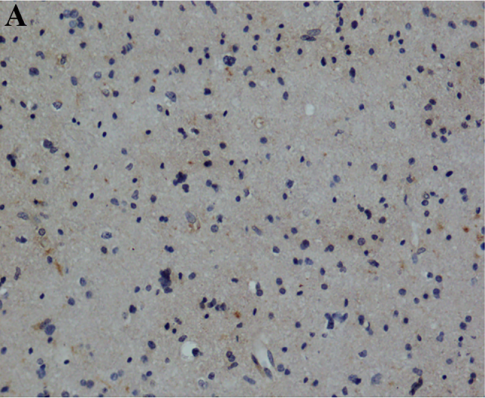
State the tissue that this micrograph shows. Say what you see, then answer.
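Fine, evenly textured pale neuropil background. Small round blue nuclei scattered sparsely and evenly. That points to this answer: Non-neoplastic brain tissue.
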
